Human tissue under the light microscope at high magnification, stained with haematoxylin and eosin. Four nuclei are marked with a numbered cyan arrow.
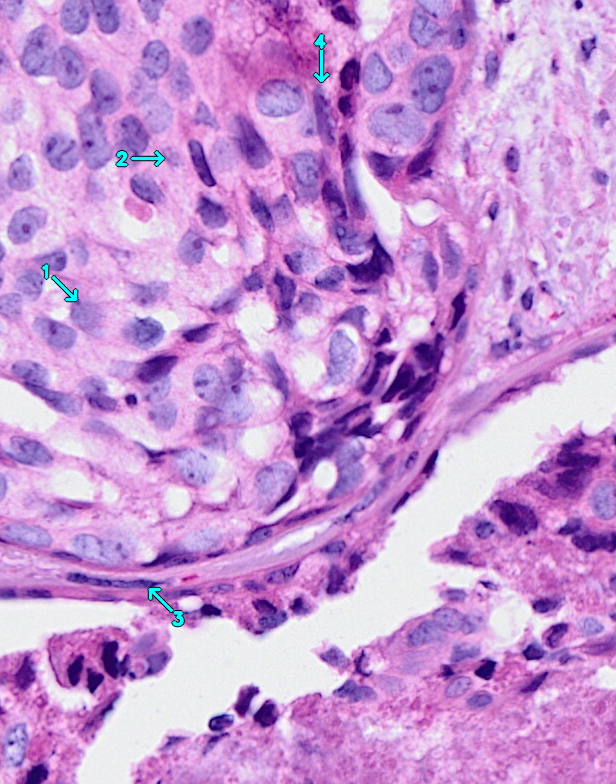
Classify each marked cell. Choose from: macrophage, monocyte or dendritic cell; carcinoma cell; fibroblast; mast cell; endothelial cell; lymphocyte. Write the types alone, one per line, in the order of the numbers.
carcinoma cell
carcinoma cell
endothelial cell
carcinoma cell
